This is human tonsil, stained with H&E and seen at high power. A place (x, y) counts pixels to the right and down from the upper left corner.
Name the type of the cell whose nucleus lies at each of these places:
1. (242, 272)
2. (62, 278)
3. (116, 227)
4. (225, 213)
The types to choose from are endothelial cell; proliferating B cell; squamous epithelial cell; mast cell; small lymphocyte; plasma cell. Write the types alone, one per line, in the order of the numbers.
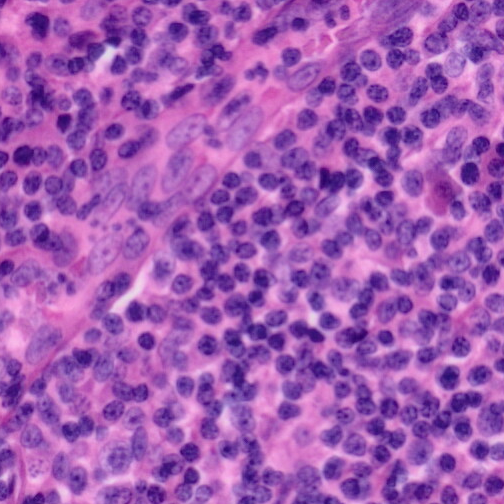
small lymphocyte
endothelial cell
endothelial cell
small lymphocyte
